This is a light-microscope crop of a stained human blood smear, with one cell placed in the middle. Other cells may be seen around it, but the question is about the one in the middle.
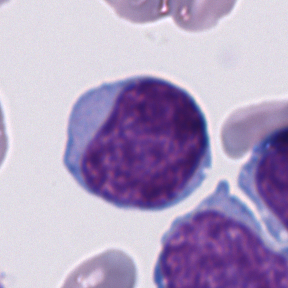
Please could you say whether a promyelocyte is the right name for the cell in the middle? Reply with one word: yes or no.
no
